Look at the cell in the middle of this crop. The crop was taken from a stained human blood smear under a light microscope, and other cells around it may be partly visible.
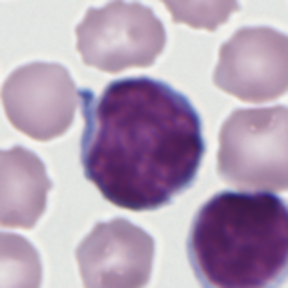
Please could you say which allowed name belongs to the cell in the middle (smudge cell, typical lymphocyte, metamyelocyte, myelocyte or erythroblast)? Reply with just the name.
typical lymphocyte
